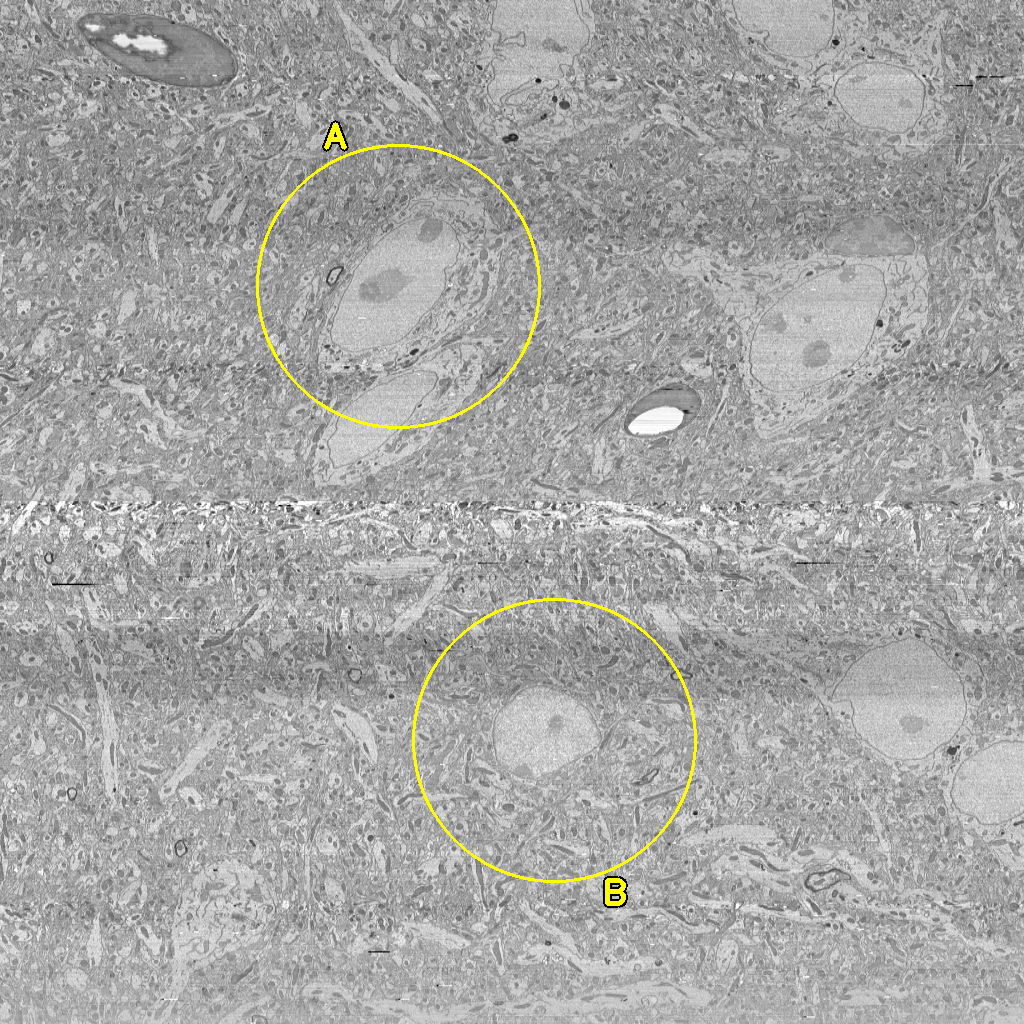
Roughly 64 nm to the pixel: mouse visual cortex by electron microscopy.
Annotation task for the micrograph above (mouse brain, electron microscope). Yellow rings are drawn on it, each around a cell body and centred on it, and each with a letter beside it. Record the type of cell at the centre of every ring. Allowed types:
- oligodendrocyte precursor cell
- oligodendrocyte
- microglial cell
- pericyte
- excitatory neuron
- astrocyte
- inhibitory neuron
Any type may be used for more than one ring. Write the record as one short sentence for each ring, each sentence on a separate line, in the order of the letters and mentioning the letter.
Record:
The cell centred in ring A is an excitatory neuron.
The cell centred in ring B is an astrocyte.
